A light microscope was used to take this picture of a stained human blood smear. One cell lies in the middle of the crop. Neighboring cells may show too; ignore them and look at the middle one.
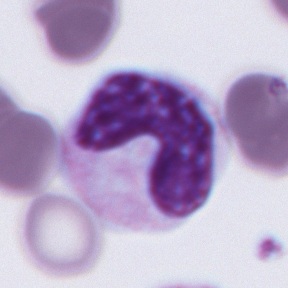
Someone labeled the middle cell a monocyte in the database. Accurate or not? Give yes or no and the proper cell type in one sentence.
No, the central cell is classed as a band neutrophil, not a monocyte.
